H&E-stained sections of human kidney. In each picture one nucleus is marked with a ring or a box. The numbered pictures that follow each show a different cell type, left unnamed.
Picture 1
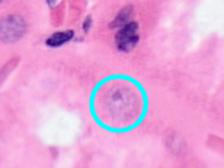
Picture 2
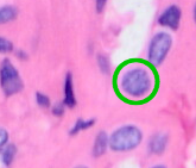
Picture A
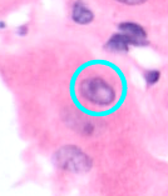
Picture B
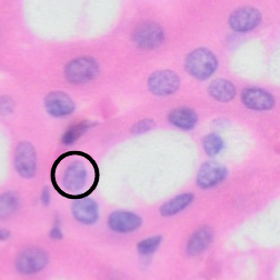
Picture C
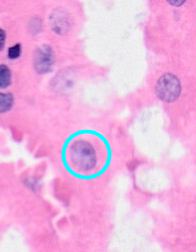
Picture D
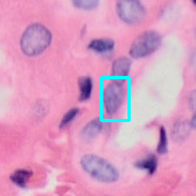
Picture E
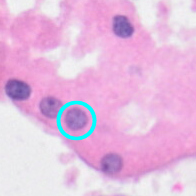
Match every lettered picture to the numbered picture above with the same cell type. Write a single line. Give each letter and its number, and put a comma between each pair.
A 1, B 2, C 1, D 2, E 1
